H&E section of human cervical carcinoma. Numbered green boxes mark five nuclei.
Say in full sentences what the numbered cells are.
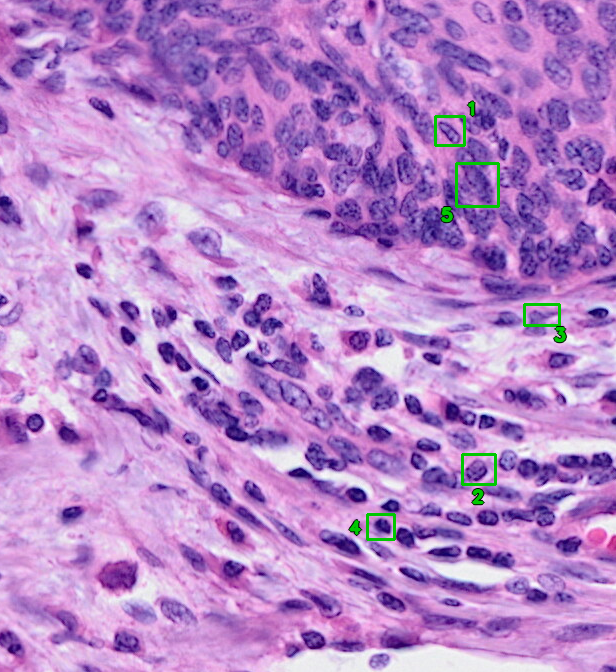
Cells 1 and 5 are squamous carcinoma cells. Cells 2 and 4 are lymphocytes. Cell 3 is a fibroblast.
